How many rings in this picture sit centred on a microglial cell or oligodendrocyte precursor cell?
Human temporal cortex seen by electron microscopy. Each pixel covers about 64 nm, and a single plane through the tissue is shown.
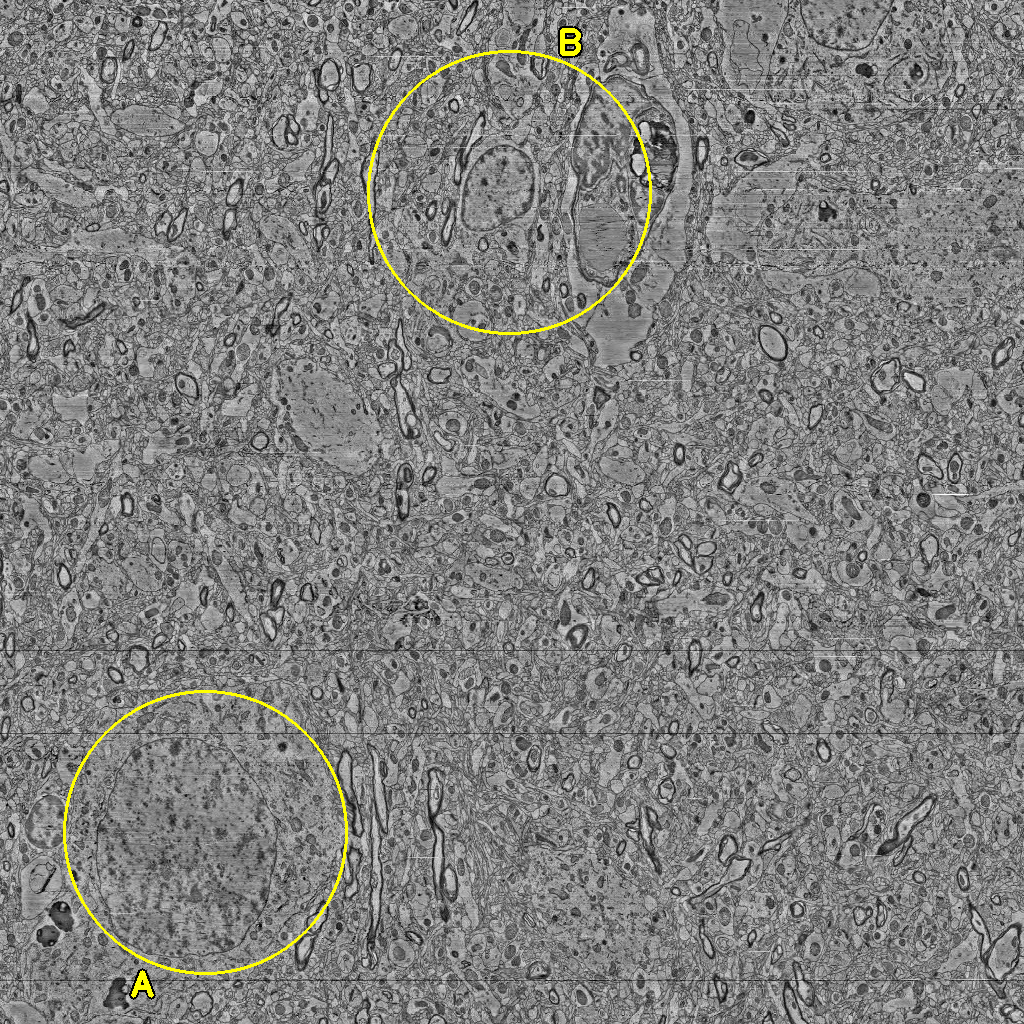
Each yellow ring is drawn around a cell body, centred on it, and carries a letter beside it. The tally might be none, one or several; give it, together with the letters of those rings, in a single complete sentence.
There is one ring, and one only, centred on a microglial cell or oligodendrocyte precursor cell, and it is lettered B.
